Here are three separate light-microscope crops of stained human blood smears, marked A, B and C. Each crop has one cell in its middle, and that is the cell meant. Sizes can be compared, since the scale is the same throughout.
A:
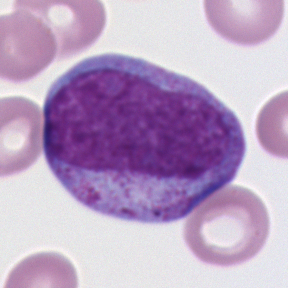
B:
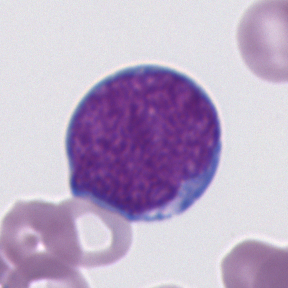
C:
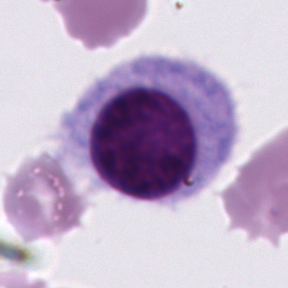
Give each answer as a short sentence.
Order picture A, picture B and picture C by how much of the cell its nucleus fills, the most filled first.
The most filled comes first: B, A, C.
